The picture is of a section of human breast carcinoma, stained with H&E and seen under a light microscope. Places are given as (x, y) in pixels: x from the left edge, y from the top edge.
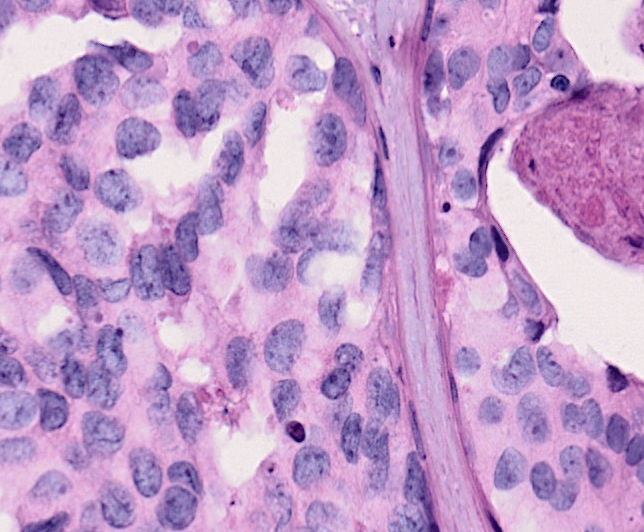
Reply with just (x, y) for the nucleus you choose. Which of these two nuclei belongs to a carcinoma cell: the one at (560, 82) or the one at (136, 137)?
(136, 137)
